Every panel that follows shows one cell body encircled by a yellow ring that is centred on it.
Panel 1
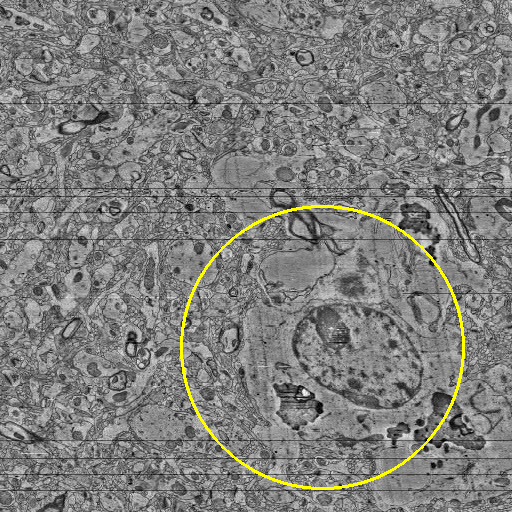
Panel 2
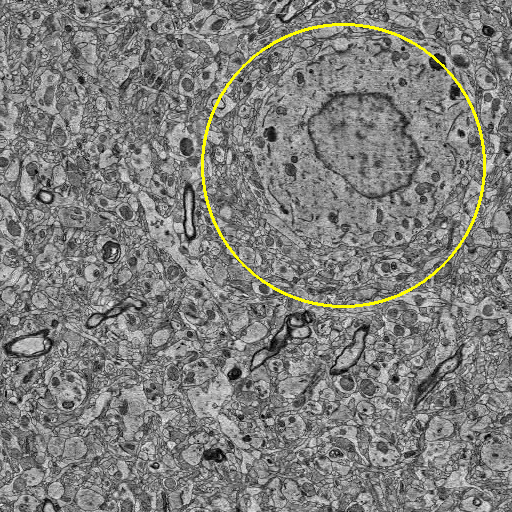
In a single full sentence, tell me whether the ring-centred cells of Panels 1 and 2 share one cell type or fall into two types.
In Panel 1 and Panel 2, the cells at the ring centres fall into two types.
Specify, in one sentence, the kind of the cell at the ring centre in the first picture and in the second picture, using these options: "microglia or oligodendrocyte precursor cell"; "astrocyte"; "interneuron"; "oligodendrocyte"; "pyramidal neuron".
So the first is an astrocyte, the second a pyramidal neuron.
